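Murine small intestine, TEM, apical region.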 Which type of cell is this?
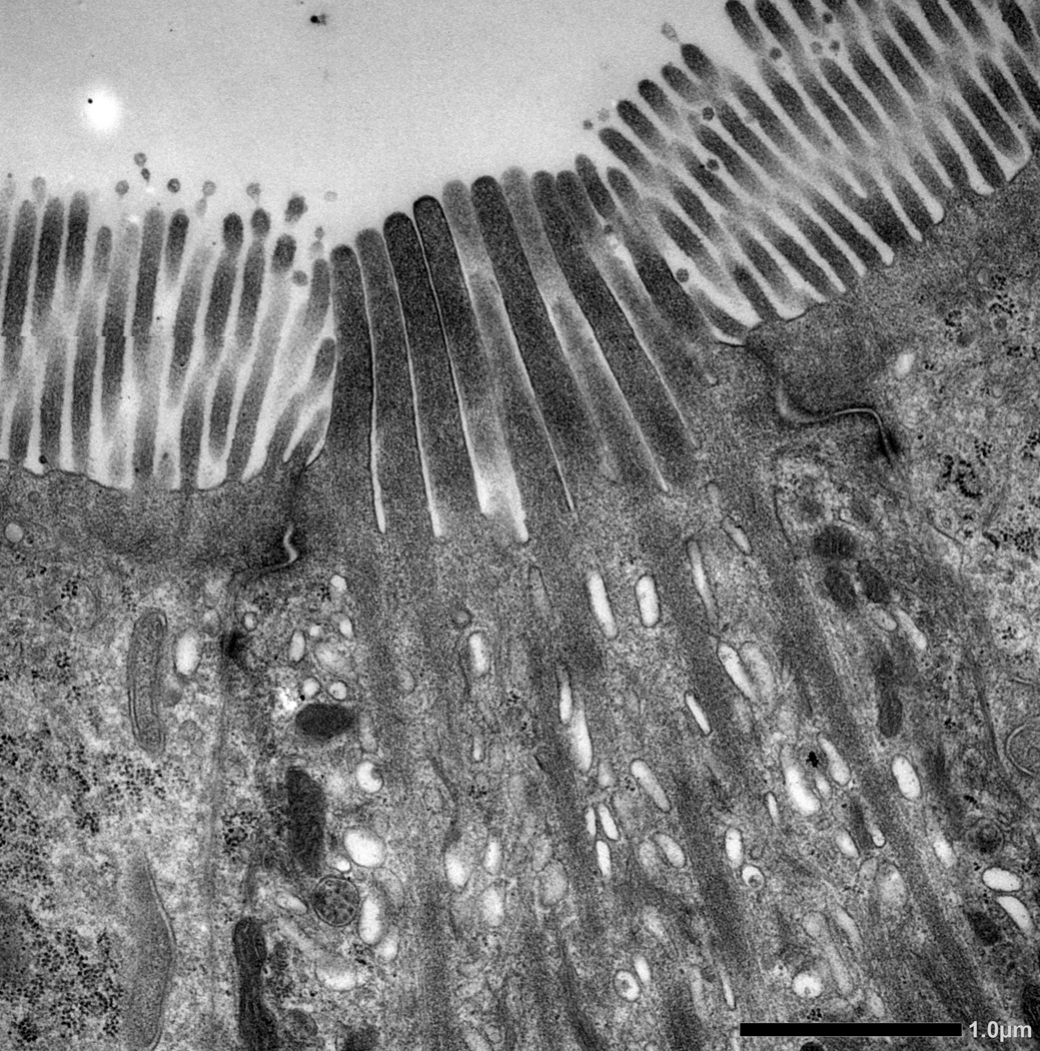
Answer: tuft cell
